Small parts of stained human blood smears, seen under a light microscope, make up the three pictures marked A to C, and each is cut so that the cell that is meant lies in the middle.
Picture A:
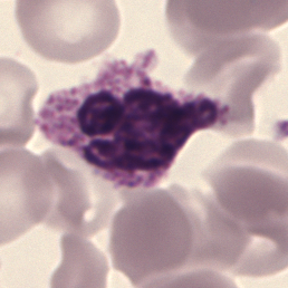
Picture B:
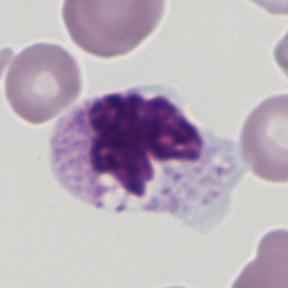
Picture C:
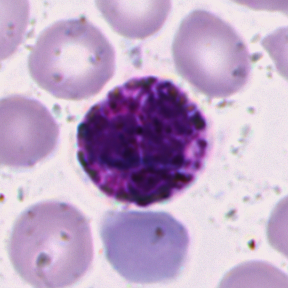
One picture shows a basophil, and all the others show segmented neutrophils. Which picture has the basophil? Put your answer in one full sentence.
It is picture C that shows the basophil.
